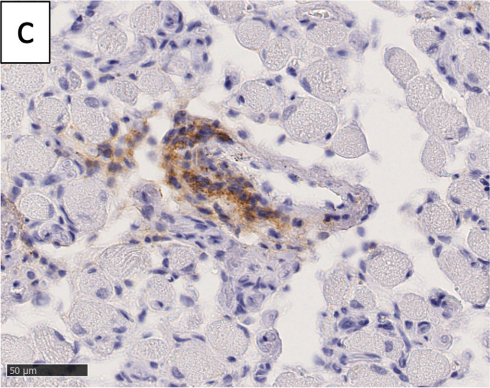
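Pale cross-sectioned skeletal muscle fibers surround a strip of connective tissue containing a vessel. Around this vessel lies a dense cluster of small cells with round, dark blue nuclei, their surroundings stained brown. The brown-stained cells crowd along the vessel wall and spread a little into the tissue beside it, while the muscle fibers themselves stay unstained.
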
